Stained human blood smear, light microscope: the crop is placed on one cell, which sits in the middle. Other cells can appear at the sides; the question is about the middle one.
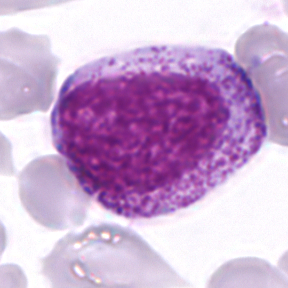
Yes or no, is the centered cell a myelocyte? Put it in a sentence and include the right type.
No, the central cell is not to be called a myelocyte, being a promyelocyte.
